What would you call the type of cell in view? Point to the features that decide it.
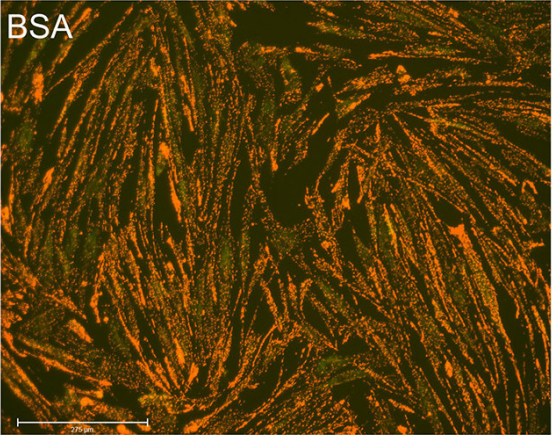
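Myotubes. Long, slender, fibre-like cells fill the field. The cells lie side by side in parallel, curving bundles.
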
